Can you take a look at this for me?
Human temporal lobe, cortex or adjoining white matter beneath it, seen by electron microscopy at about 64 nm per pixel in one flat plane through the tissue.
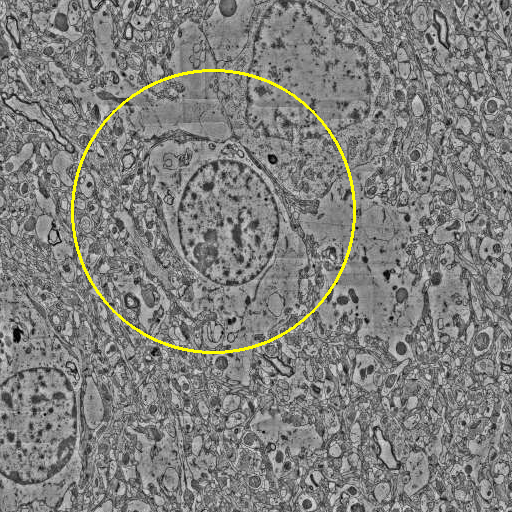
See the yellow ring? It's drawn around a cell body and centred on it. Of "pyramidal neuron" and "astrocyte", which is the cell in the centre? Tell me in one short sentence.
The one in the centre is an astrocyte.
